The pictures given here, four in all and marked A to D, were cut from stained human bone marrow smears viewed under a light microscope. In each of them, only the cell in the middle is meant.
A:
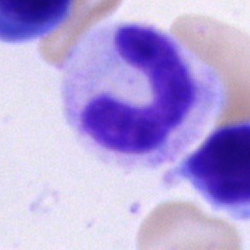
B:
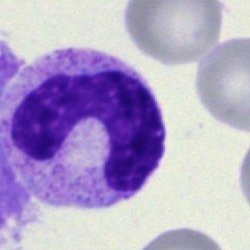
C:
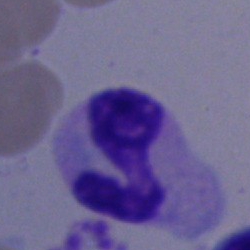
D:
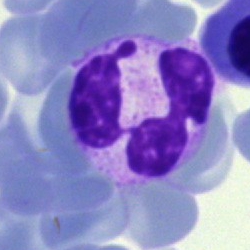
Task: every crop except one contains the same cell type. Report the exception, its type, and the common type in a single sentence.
Crop D, showing a segmented neutrophil, is the exception; the others all show band neutrophils.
